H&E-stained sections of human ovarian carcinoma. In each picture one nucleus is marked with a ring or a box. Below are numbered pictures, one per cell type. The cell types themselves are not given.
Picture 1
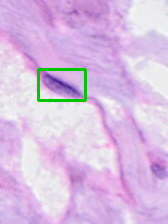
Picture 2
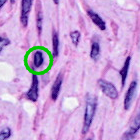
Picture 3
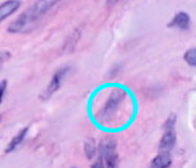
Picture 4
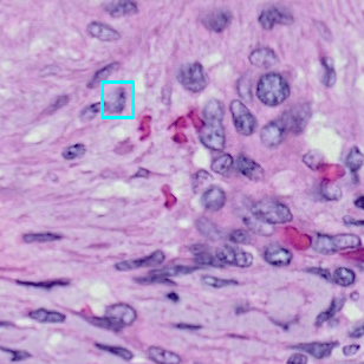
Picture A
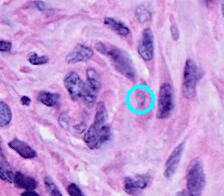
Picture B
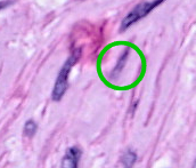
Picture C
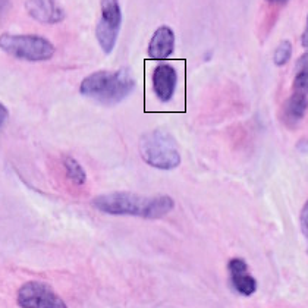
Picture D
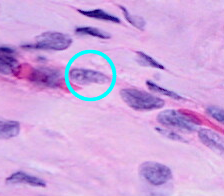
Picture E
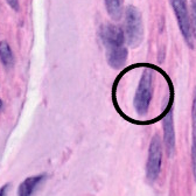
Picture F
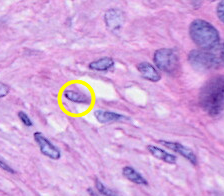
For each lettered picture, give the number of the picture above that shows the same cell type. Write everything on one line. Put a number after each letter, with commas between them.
A 4, B 4, C 2, D 1, E 3, F 4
